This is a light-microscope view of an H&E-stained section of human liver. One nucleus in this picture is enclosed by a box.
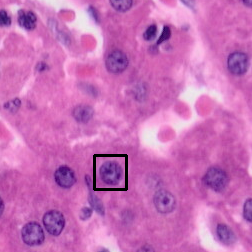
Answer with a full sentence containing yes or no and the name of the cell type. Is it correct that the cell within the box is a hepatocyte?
Yes, the identity of the cell within the box is that of a hepatocyte.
